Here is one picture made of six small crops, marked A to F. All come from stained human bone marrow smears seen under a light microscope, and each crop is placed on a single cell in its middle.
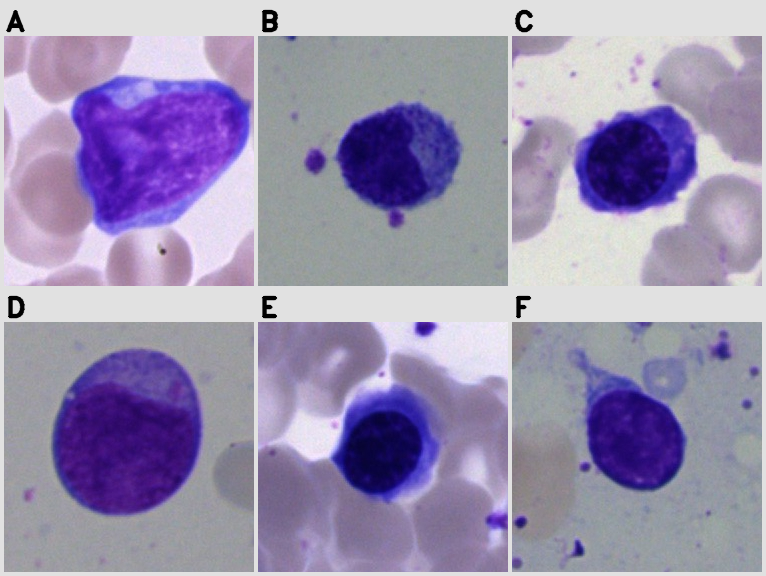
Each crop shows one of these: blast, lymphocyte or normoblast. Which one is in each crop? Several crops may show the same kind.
A: blast
B: lymphocyte
C: normoblast
D: blast
E: normoblast
F: lymphocyte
